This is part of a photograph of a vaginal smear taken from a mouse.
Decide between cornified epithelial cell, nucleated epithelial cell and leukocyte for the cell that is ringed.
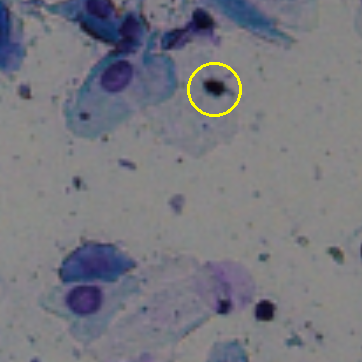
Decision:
I take the ringed cell for a leukocyte.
